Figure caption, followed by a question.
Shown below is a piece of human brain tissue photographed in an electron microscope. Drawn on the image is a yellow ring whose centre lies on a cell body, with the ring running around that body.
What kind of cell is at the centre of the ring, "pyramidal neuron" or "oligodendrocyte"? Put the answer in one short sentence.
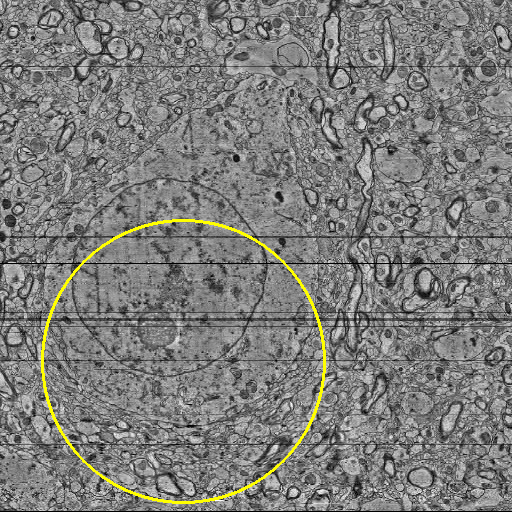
The ring marks the cell body of a pyramidal neuron.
